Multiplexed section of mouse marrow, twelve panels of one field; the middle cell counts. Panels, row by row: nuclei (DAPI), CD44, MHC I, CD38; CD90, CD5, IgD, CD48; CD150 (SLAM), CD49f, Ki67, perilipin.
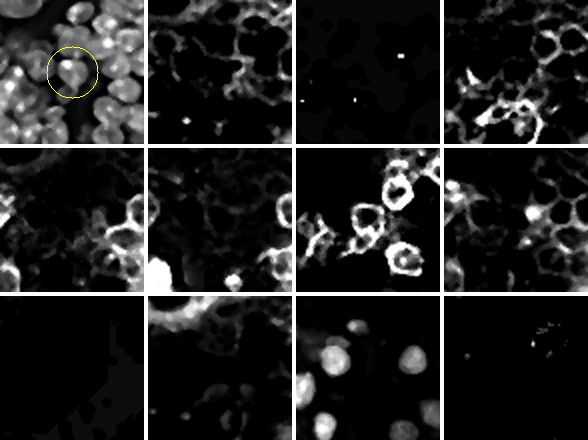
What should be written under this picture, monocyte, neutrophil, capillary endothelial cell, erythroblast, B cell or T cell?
B cell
